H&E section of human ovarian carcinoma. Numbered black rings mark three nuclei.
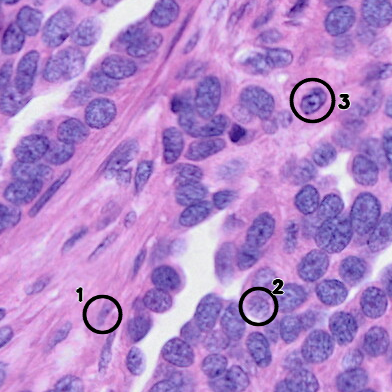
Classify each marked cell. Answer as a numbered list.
1. fibroblast
2. carcinoma cell
3. macrophage or monocyte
